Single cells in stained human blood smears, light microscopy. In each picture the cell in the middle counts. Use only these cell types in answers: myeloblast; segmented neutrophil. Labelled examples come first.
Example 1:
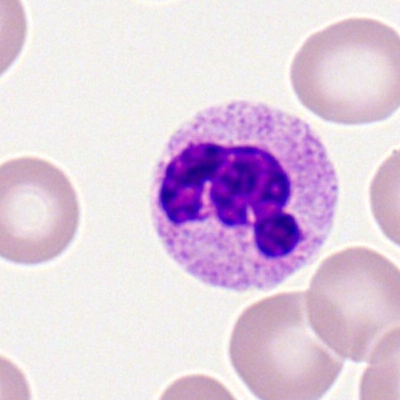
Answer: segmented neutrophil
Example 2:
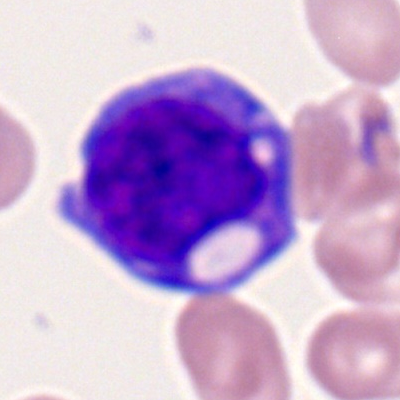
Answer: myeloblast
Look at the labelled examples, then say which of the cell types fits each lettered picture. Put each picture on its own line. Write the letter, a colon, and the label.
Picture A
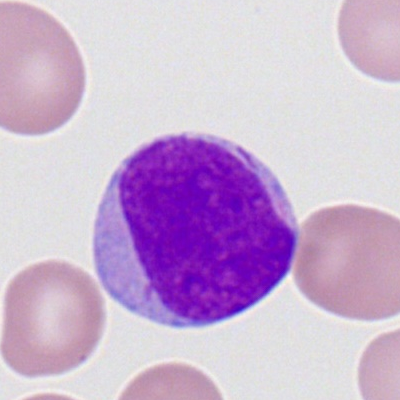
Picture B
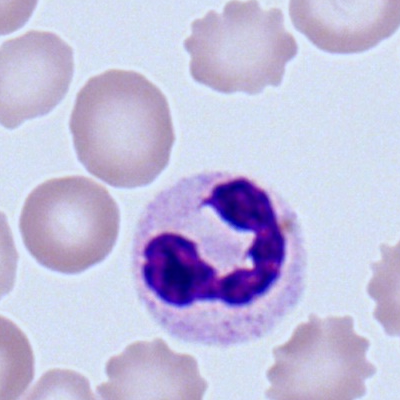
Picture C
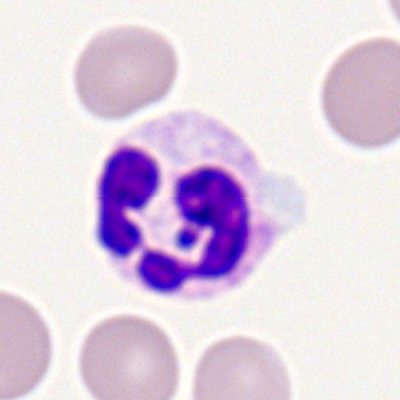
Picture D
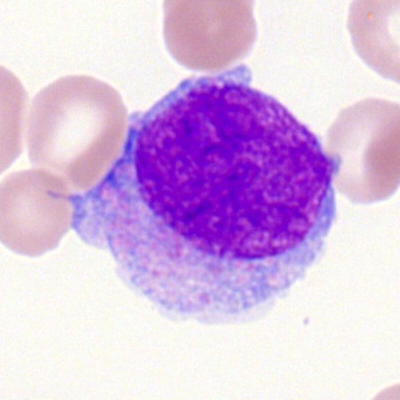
A: myeloblast
B: segmented neutrophil
C: segmented neutrophil
D: myeloblast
